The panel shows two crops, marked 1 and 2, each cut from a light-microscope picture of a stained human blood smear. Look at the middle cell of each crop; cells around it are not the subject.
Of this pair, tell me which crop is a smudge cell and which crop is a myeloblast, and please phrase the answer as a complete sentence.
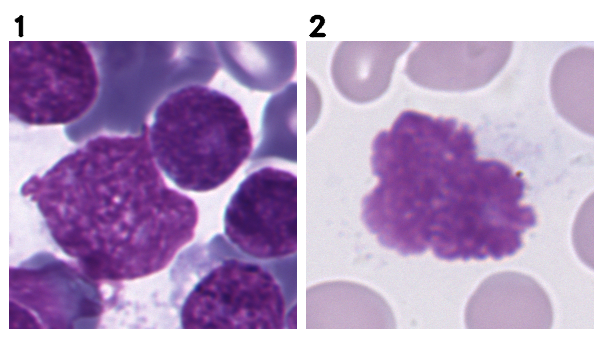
Crop 1 is labelled a myeloblast, and crop 2 is labelled a smudge cell.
